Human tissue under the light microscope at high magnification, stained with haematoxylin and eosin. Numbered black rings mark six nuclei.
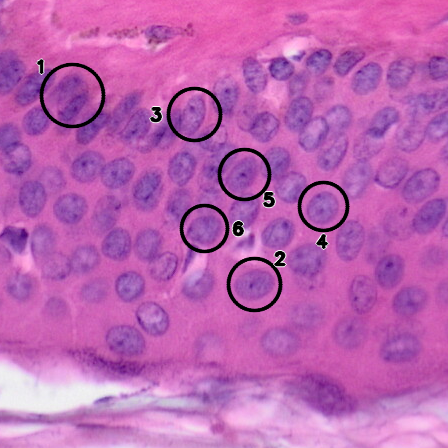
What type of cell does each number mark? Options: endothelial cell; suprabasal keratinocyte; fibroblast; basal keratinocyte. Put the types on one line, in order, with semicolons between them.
basal keratinocyte; suprabasal keratinocyte; basal keratinocyte; suprabasal keratinocyte; suprabasal keratinocyte; suprabasal keratinocyte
